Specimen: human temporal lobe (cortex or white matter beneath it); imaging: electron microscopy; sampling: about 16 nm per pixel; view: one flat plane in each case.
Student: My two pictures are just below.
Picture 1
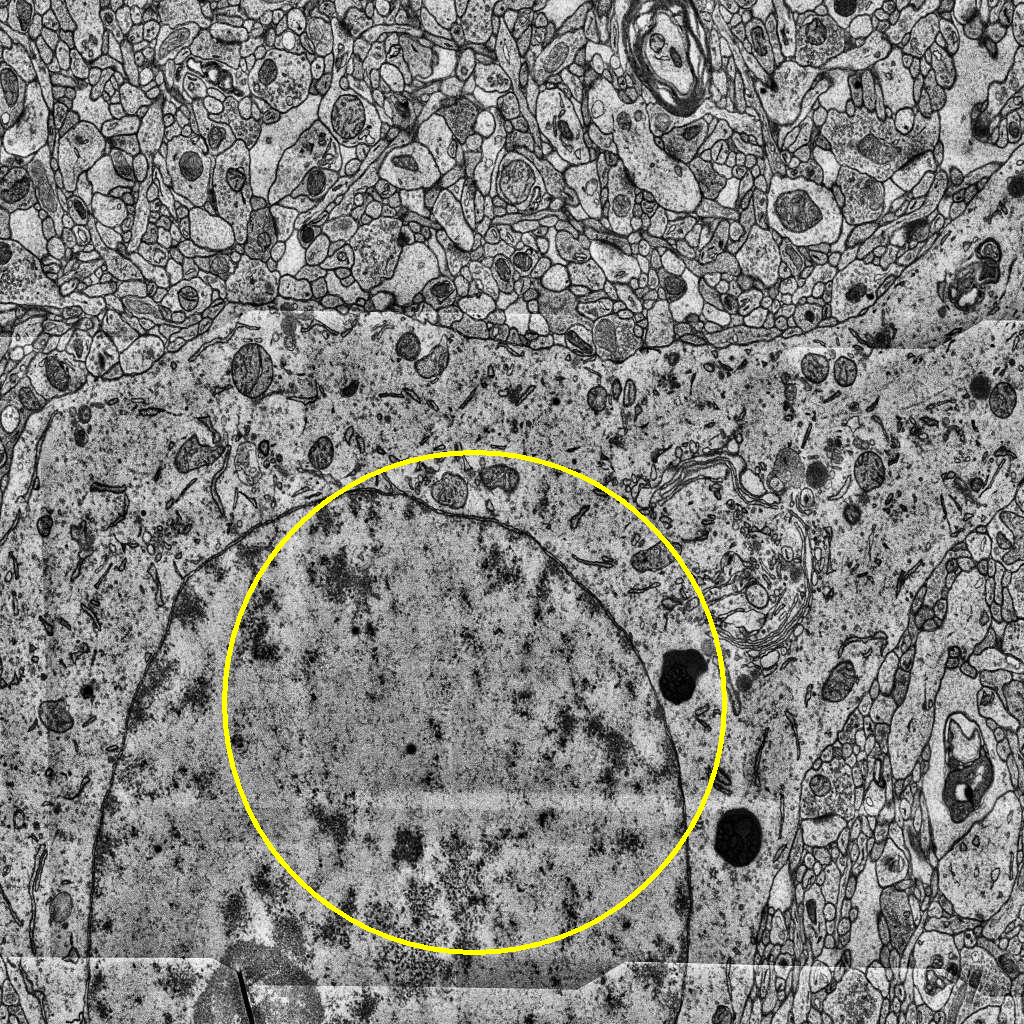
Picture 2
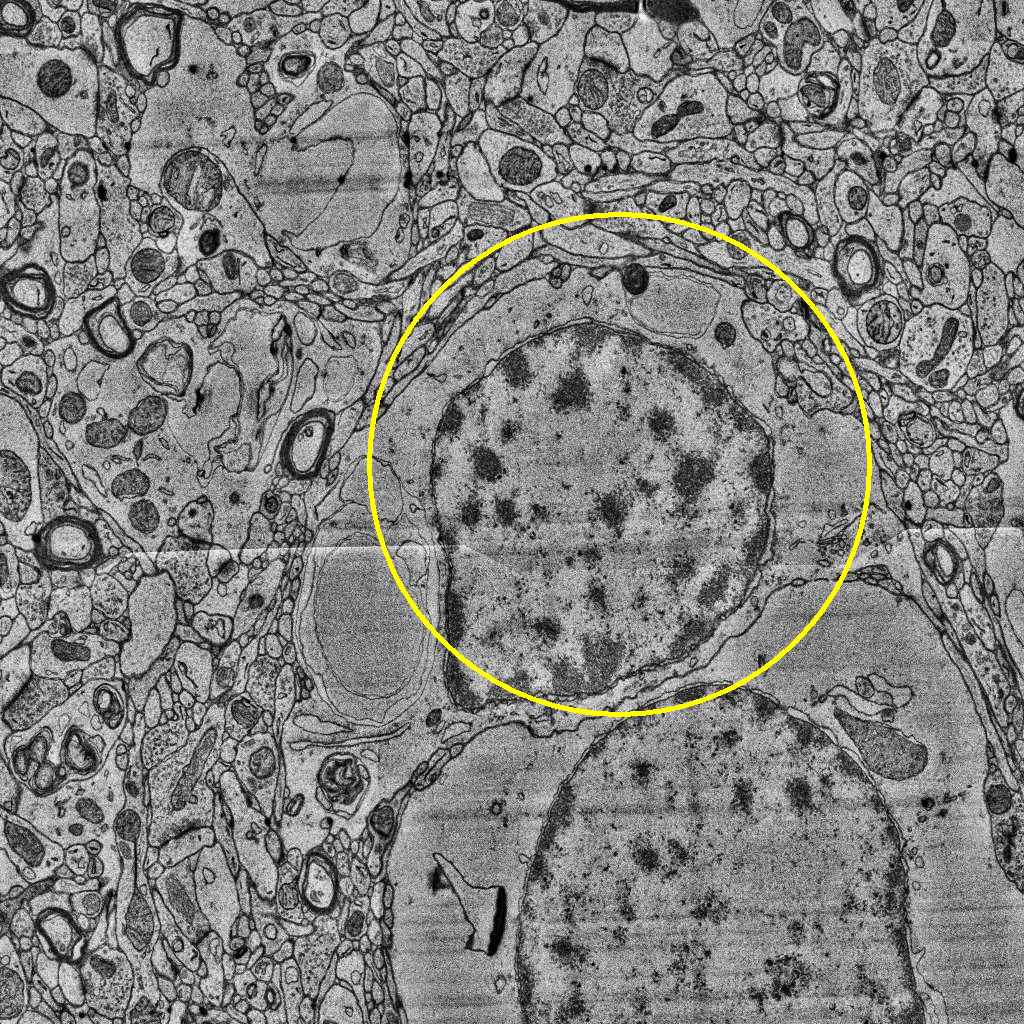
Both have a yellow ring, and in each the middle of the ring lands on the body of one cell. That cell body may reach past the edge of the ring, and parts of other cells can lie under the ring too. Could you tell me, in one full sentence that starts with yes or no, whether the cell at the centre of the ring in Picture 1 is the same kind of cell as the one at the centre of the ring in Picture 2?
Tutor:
No, the two cells are of two kinds.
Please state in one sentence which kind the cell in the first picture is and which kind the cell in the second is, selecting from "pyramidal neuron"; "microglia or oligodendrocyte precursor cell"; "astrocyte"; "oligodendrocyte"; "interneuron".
The two differ: the first cell is a pyramidal neuron and the second is an astrocyte.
